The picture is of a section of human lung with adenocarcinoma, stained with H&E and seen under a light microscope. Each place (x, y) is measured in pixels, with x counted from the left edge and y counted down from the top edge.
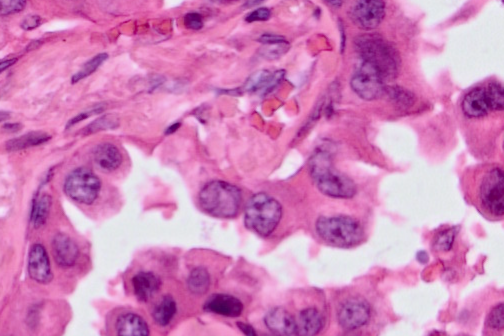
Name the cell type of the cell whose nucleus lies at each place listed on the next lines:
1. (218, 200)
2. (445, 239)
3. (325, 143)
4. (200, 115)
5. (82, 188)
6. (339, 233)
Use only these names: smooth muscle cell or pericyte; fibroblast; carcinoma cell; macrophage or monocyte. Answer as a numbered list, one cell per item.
1. carcinoma cell
2. macrophage or monocyte
3. carcinoma cell
4. fibroblast
5. carcinoma cell
6. carcinoma cell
